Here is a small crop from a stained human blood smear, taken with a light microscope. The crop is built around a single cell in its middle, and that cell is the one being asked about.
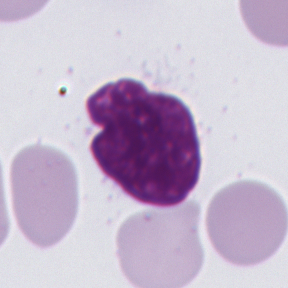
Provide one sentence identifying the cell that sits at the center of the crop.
Positioned in the middle of the crop is a smudge cell.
